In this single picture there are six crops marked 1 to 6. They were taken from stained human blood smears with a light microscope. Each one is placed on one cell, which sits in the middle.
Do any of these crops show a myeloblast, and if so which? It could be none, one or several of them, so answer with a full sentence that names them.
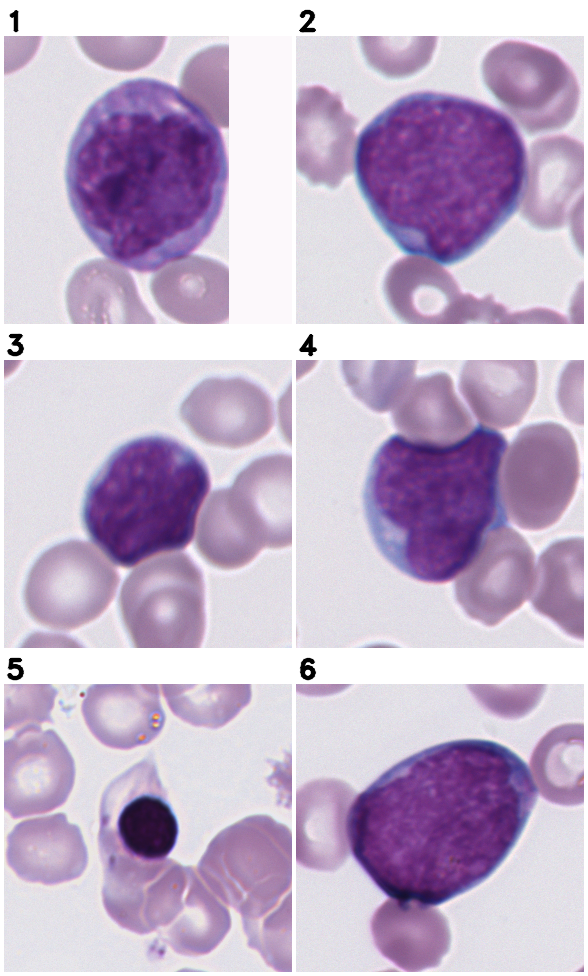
The crops marked 2, 3, 4 and 6 contain myeloblasts at the centre.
